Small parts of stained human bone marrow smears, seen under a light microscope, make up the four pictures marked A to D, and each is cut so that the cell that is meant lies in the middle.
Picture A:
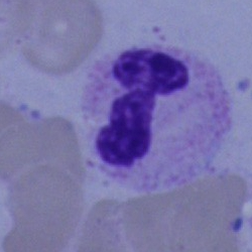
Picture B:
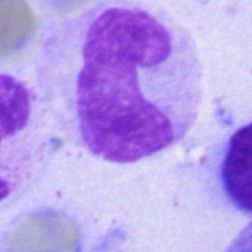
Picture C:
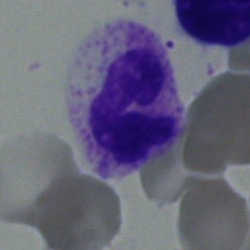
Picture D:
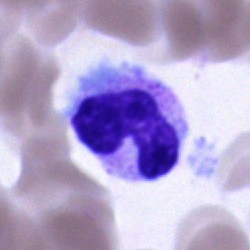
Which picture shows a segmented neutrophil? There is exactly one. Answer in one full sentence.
Picture A is the one that shows the segmented neutrophil.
